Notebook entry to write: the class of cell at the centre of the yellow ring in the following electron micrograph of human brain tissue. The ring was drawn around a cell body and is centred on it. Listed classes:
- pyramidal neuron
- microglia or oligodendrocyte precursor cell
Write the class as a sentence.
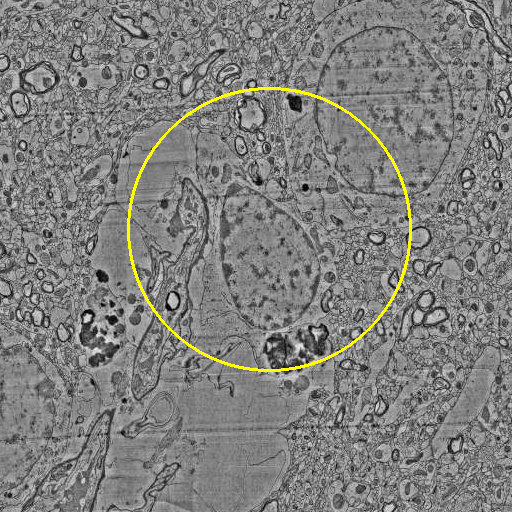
The yellow ring sits on a microglial cell or oligodendrocyte precursor cell.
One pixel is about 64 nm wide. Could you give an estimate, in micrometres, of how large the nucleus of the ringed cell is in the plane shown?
Roughly 9 micrometres by 6 micrometres, so the nucleus is clearly longer than it is wide in this plane.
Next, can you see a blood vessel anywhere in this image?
Yes, there is one.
